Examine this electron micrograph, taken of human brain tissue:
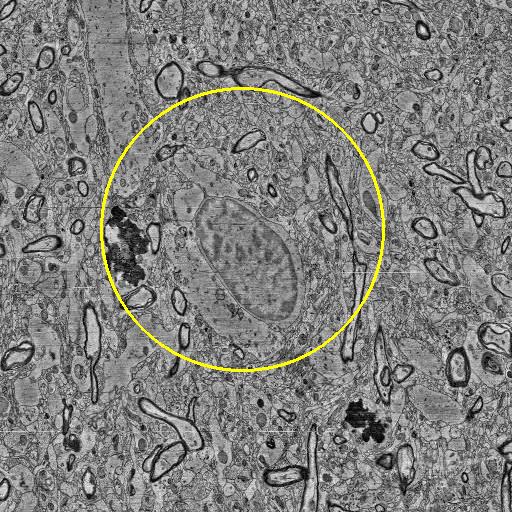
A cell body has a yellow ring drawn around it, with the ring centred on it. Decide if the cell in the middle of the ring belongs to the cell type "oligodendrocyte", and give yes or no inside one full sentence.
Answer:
Yes, the cell at the centre of the yellow ring in this picture is of that type.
